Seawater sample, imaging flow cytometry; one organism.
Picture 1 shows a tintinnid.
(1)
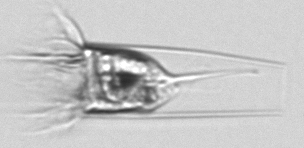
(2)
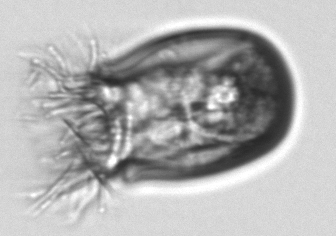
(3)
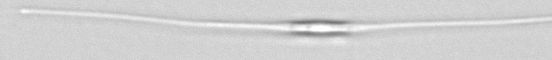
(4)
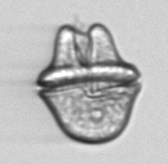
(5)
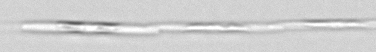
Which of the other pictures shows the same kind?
Picture 2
